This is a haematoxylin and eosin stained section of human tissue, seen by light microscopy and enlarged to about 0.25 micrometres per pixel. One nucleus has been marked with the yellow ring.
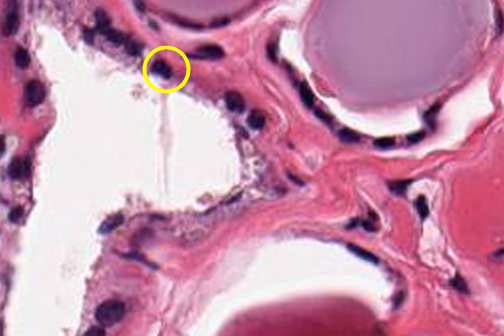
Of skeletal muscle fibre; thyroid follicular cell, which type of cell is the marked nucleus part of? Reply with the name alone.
thyroid follicular cell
